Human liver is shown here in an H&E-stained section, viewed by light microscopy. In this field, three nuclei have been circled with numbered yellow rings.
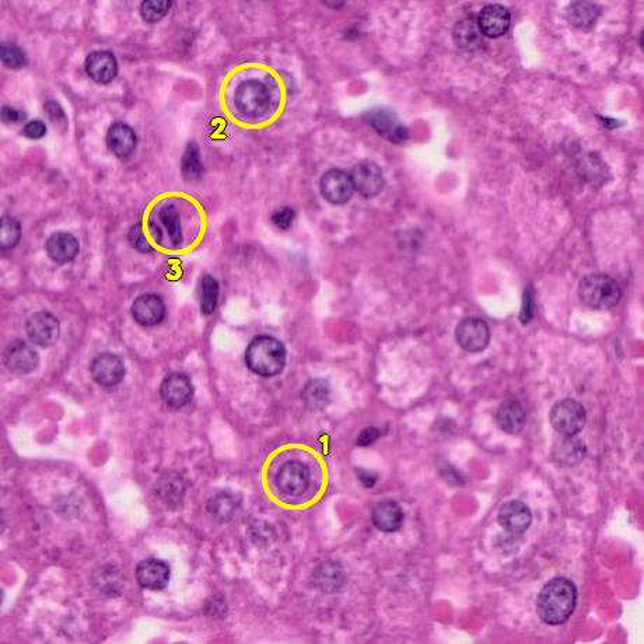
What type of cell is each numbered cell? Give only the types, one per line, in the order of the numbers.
hepatocyte
hepatocyte
fibroblast or stellate cell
